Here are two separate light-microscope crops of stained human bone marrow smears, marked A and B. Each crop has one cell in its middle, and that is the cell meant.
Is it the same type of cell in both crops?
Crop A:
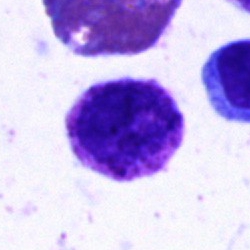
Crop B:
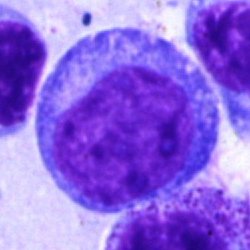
no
